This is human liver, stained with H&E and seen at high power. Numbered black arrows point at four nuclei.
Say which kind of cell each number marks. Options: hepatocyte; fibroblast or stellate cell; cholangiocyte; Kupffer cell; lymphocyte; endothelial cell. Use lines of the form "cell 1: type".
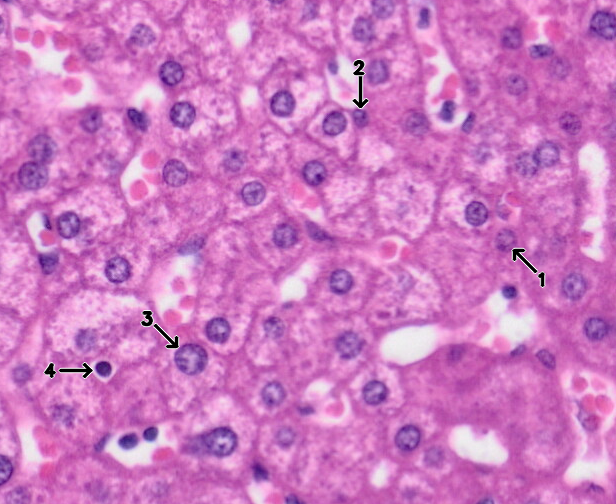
cell 1: hepatocyte
cell 2: fibroblast or stellate cell
cell 3: hepatocyte
cell 4: lymphocyte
